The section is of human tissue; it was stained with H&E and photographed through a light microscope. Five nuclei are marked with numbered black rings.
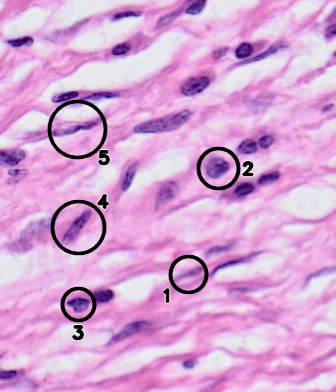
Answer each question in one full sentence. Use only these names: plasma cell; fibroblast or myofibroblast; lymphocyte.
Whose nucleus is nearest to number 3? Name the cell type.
The cell nearest to number 3 is a plasma cell.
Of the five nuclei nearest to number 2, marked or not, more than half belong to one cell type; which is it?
The majority of the five nuclei closest to number 2 belong to plasma cells.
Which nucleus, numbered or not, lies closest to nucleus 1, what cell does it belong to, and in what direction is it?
The closest nucleus belongs to a fibroblast or myofibroblast and sits above and to the right of nucleus 1.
